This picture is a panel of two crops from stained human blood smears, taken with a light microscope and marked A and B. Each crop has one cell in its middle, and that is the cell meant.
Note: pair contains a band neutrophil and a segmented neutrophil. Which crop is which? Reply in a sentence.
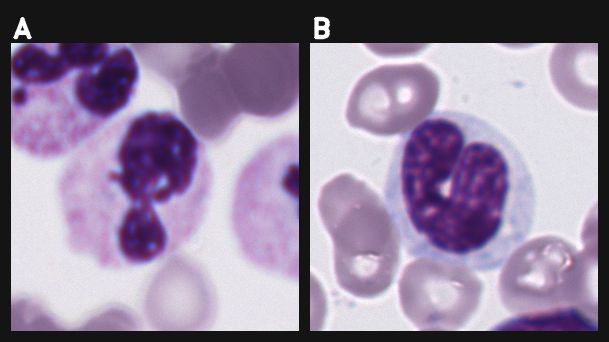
Crop A holds a segmented neutrophil; a band neutrophil occupies crop B.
